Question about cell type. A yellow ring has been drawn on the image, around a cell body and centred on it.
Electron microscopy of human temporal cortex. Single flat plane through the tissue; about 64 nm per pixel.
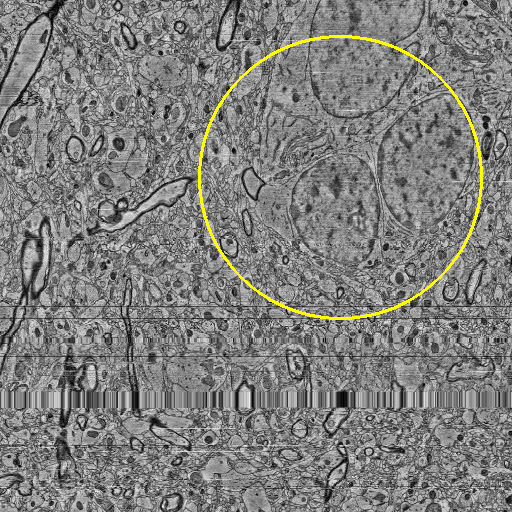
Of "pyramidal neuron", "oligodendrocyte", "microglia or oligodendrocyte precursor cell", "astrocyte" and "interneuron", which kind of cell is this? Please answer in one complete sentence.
At the centre of the ring lies a microglial cell or oligodendrocyte precursor cell.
